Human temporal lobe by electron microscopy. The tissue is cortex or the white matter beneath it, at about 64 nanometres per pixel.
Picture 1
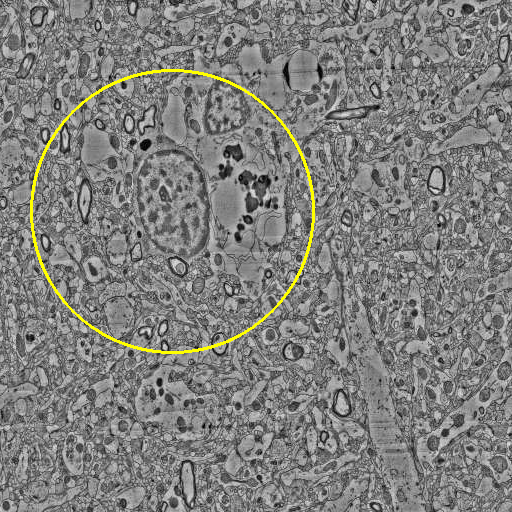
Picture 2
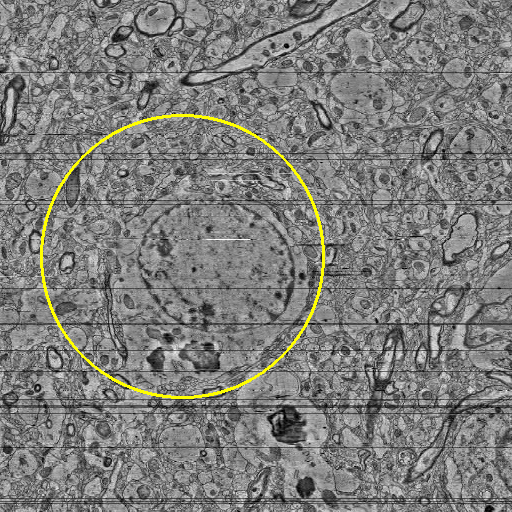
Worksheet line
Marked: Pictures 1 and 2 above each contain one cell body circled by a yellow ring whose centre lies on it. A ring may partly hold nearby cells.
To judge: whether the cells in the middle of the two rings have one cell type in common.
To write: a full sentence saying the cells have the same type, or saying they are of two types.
The cells in the middle of the rings in Picture 1 and Picture 2 are of two types.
